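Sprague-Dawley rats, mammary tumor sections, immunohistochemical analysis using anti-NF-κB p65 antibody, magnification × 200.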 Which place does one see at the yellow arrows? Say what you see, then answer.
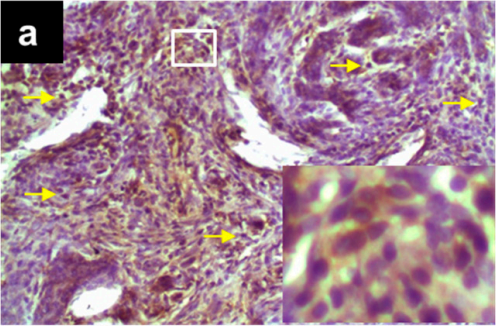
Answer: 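In the inset many oval nuclei are brownish rather than pure blue-purple. So: nucleus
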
